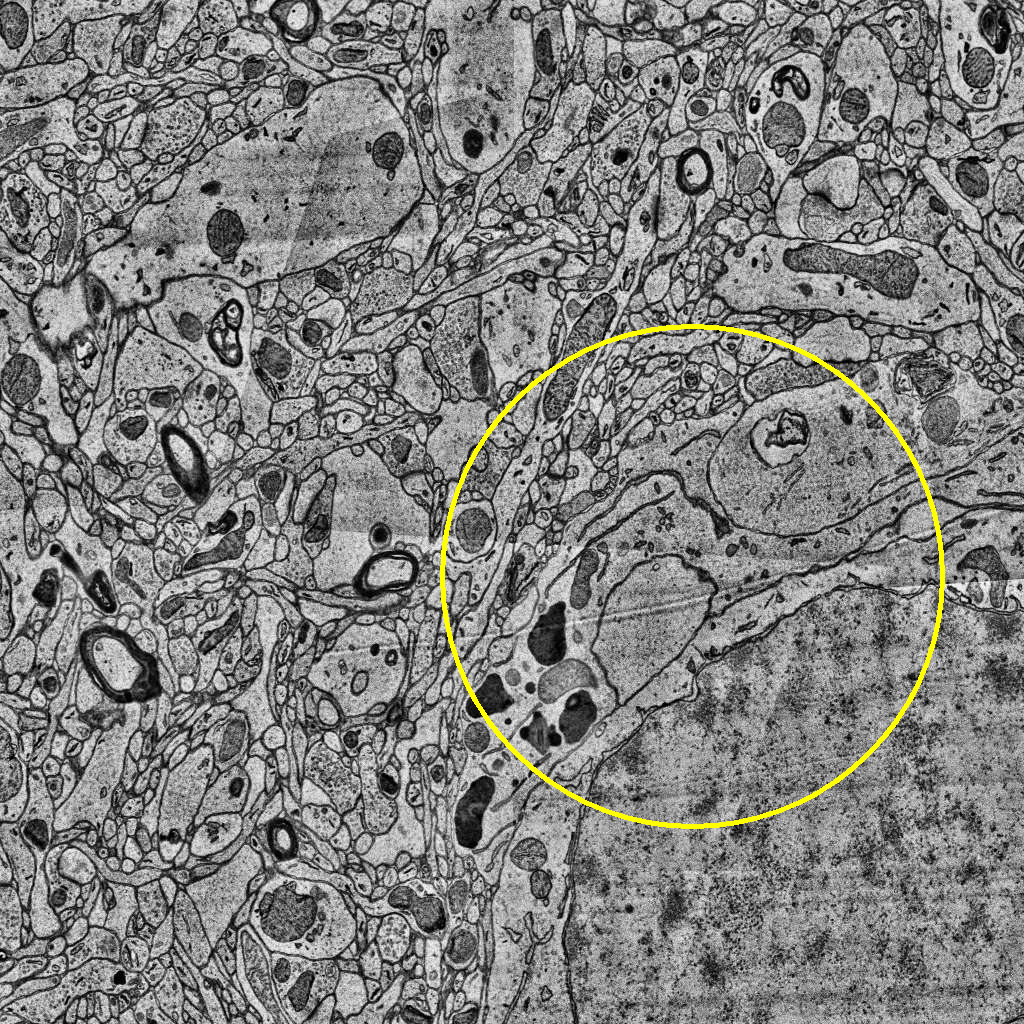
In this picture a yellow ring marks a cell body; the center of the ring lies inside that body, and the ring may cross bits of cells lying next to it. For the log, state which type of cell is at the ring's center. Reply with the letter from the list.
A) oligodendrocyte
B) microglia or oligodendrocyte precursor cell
B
